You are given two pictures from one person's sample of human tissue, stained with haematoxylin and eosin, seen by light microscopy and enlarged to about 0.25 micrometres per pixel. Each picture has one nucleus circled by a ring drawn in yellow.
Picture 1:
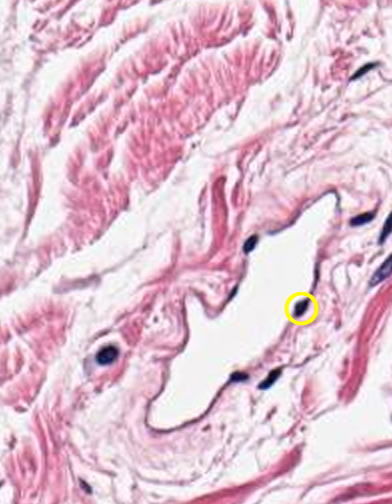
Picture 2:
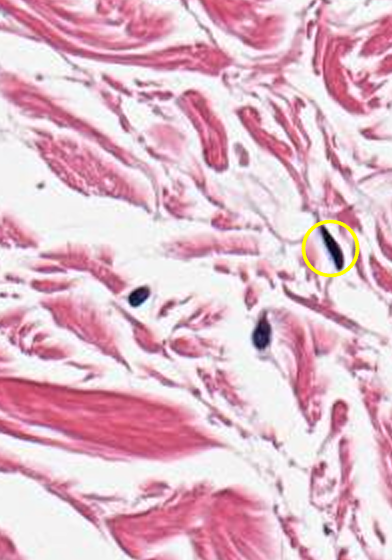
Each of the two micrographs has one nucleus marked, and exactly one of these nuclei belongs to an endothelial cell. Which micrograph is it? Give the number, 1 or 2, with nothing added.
1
